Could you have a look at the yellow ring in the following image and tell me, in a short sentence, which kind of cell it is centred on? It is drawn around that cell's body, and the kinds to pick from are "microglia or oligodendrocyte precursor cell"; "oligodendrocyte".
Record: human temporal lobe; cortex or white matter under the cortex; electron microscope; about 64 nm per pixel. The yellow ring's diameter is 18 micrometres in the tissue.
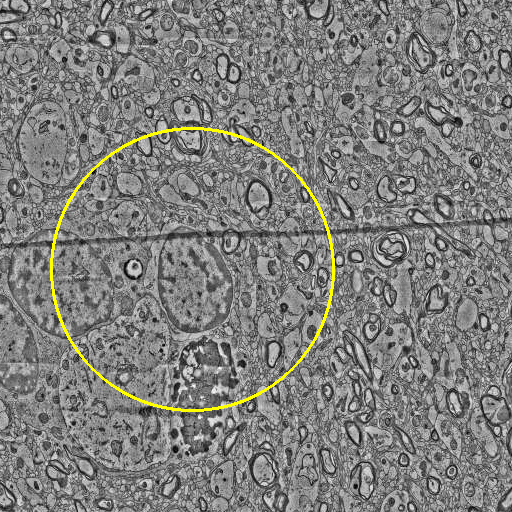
The ring is centred on the body of a microglial cell or oligodendrocyte precursor cell.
